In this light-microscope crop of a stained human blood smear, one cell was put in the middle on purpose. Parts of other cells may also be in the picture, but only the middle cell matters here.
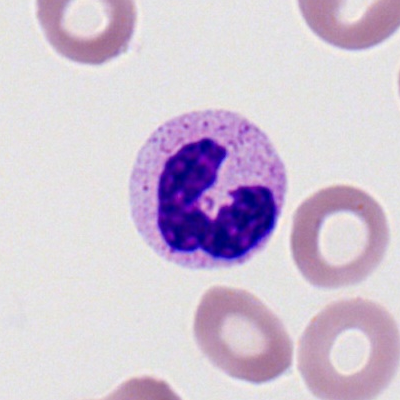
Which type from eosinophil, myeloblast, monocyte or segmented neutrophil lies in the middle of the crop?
segmented neutrophil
